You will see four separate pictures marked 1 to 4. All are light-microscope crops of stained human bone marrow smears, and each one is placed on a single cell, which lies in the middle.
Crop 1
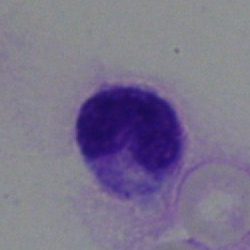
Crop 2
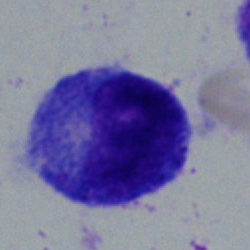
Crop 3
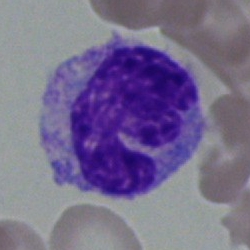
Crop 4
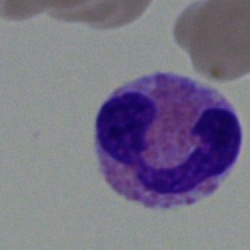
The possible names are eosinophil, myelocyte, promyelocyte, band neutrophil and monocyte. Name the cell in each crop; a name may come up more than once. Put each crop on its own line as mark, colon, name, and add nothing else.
1: band neutrophil
2: promyelocyte
3: monocyte
4: eosinophil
